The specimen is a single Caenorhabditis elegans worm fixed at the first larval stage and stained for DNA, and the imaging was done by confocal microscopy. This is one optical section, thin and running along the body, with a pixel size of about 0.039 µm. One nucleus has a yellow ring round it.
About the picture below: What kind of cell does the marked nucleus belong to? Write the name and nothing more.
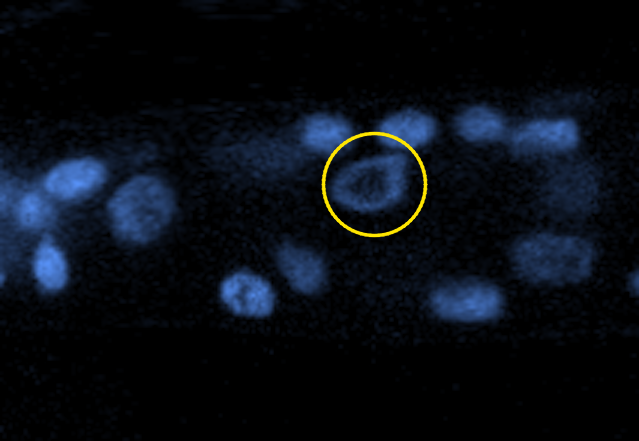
intestinal cell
